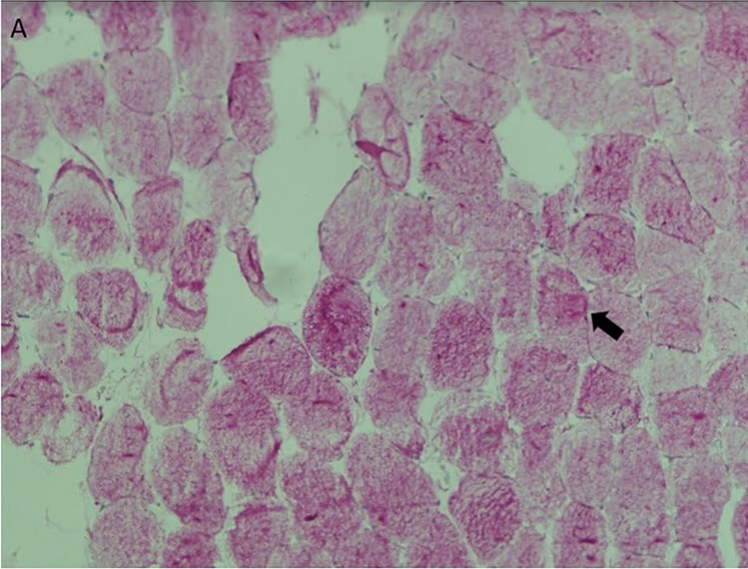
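Cross-section of skeletal muscle fibres stained pink to magenta, with rounded to polygonal outlines and uneven, granular staining within the fibres. Some fibres hold denser magenta patches. Wide clear gaps separate groups of fibres in the upper part of the field.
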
